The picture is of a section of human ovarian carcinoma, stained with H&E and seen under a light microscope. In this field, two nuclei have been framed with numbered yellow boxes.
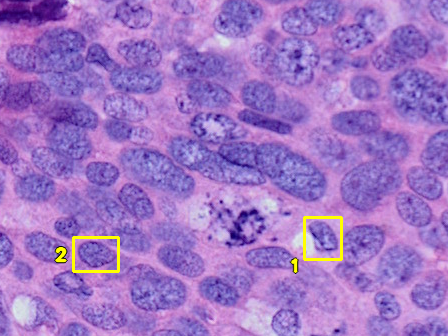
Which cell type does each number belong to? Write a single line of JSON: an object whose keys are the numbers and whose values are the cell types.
{"1": "macrophage or monocyte", "2": "carcinoma cell"}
